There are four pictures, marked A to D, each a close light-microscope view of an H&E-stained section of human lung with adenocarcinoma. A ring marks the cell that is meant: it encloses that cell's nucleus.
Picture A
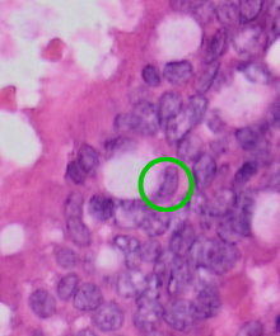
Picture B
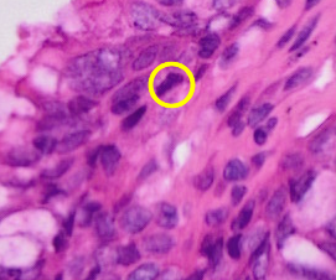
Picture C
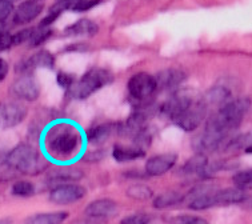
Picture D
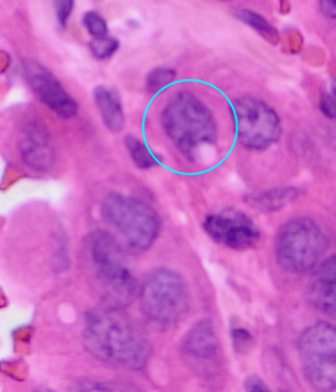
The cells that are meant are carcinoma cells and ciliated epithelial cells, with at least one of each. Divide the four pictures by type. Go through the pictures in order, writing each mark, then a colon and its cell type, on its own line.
A: ciliated epithelial cell
B: ciliated epithelial cell
C: ciliated epithelial cell
D: carcinoma cell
